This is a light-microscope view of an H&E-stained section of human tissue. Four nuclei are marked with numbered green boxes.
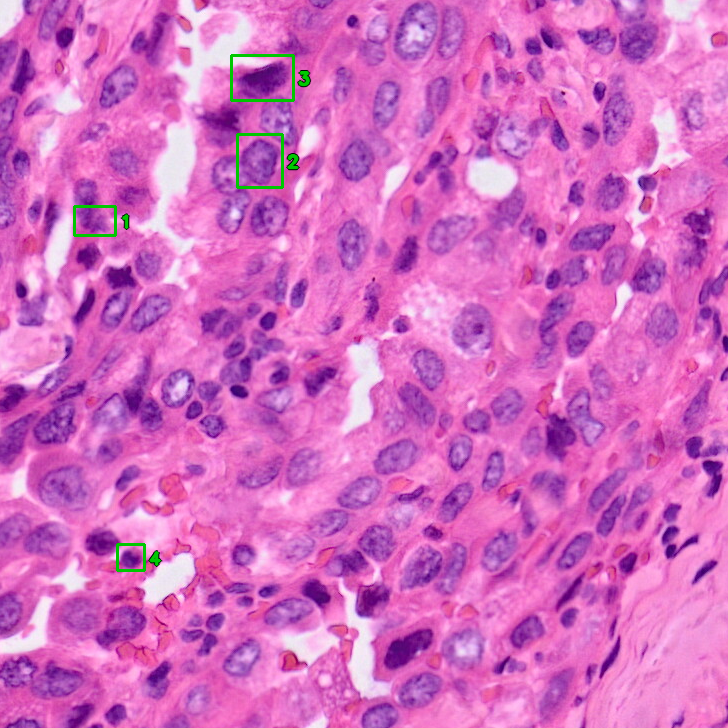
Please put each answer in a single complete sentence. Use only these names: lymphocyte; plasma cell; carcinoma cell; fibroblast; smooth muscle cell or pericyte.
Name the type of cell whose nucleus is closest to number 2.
The nearest nucleus to number 2 belongs to a carcinoma cell.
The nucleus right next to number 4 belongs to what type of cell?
The nucleus nearest to number 4 is that of a carcinoma cell.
